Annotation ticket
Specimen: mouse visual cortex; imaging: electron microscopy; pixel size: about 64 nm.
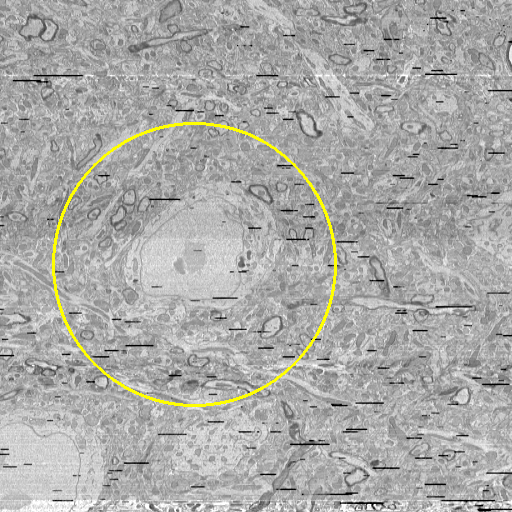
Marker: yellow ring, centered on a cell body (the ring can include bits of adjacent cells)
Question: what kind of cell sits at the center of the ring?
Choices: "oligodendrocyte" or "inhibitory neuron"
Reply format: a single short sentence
The ring is centered on an inhibitory neuron.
